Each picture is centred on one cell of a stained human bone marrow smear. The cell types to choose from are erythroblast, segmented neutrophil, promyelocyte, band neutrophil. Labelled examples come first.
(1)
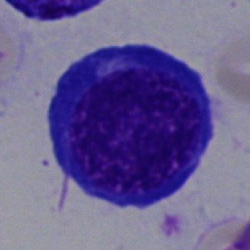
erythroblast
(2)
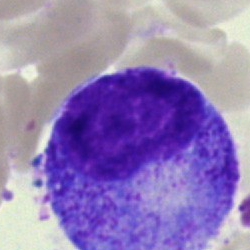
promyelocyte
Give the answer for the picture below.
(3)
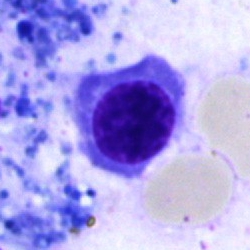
erythroblast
